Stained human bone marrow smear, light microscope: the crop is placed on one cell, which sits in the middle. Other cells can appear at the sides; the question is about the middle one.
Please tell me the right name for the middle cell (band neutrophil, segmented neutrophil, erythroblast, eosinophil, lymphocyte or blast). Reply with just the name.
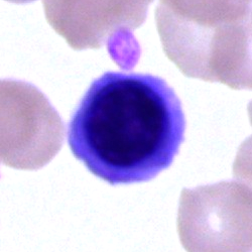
erythroblast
